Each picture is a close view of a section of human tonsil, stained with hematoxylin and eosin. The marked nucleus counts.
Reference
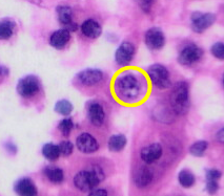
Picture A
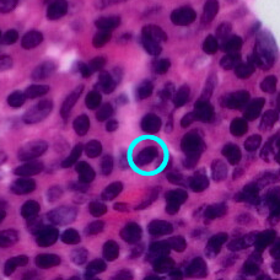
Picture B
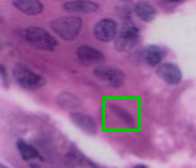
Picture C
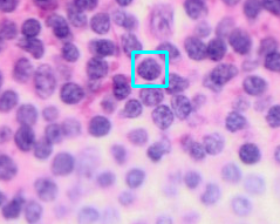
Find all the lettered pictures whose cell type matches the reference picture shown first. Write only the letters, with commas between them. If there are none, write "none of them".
A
